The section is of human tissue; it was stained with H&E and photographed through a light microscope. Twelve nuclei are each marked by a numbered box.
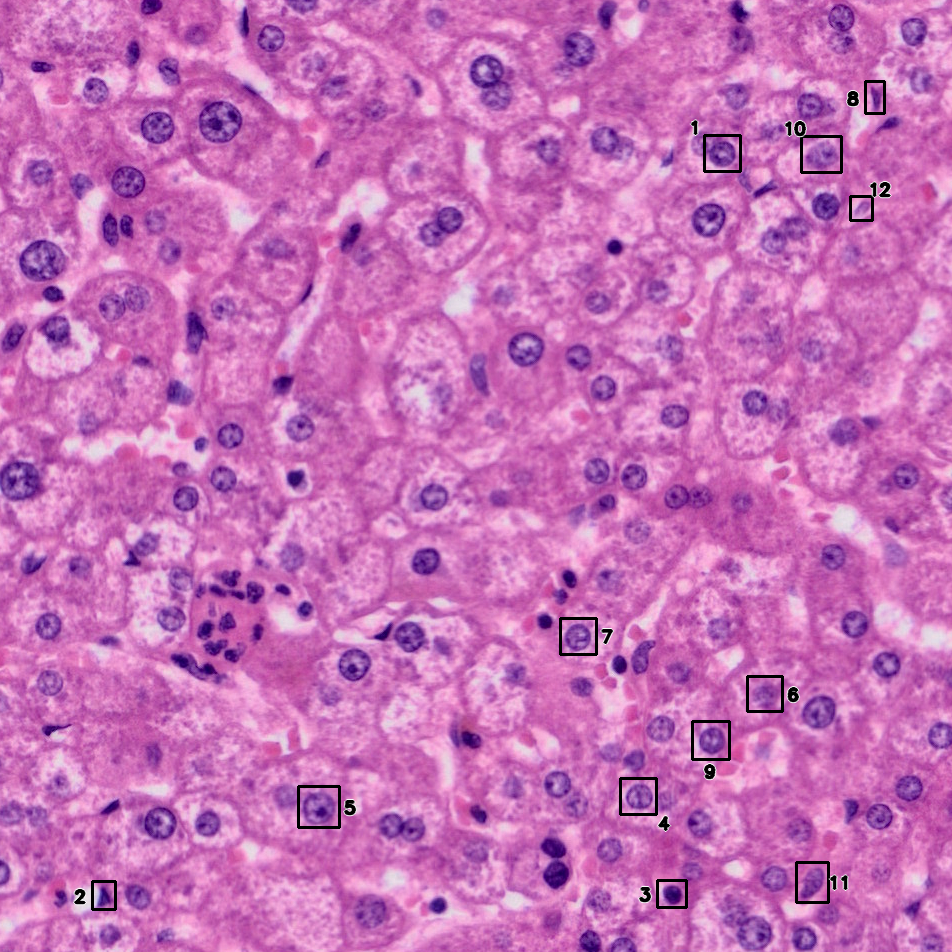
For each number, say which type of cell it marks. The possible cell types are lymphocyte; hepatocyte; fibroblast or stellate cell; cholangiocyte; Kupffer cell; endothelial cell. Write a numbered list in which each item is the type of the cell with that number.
1. hepatocyte
2. endothelial cell
3. lymphocyte
4. hepatocyte
5. hepatocyte
6. hepatocyte
7. hepatocyte
8. endothelial cell
9. hepatocyte
10. hepatocyte
11. Kupffer cell
12. Kupffer cell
